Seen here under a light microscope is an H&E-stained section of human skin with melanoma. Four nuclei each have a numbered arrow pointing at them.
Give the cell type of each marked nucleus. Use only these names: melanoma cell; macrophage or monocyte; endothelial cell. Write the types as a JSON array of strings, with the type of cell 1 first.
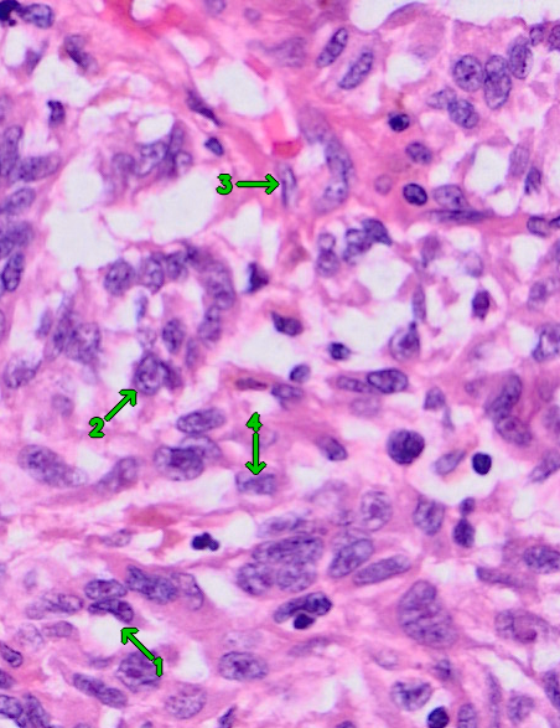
["melanoma cell", "melanoma cell", "endothelial cell", "melanoma cell"]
